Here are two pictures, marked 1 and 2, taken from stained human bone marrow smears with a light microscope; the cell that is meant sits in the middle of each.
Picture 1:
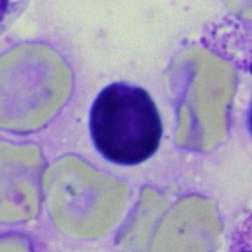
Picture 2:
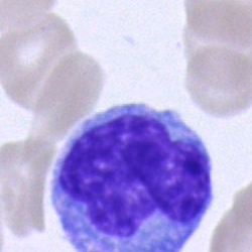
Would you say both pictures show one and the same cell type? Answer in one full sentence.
No, they differ: the cell is a lymphocyte in picture 1 and a monocyte in picture 2.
